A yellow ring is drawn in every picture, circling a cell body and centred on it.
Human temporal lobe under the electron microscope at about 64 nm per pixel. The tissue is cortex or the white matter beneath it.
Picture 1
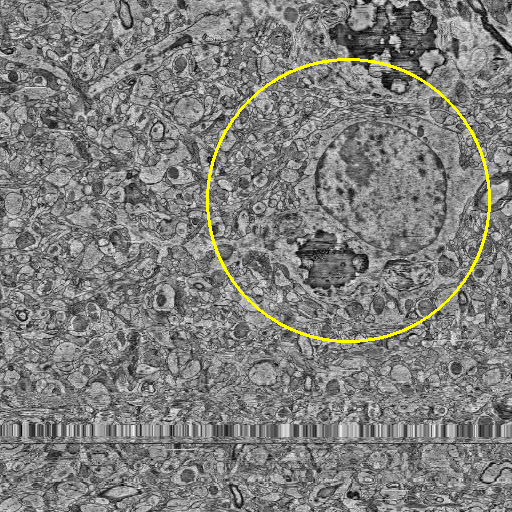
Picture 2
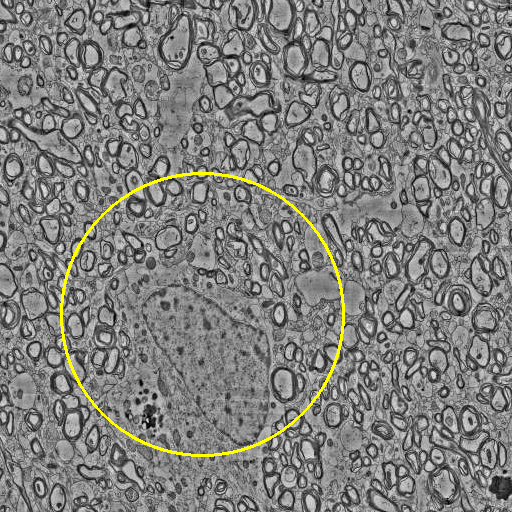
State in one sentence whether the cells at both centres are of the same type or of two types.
The cells at the two ring centres, one per picture, are of the same type.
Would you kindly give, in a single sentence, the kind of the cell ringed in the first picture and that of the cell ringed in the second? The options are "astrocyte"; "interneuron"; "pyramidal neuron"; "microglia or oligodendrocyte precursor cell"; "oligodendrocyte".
Both cells are the same kind, each one being an astrocyte.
